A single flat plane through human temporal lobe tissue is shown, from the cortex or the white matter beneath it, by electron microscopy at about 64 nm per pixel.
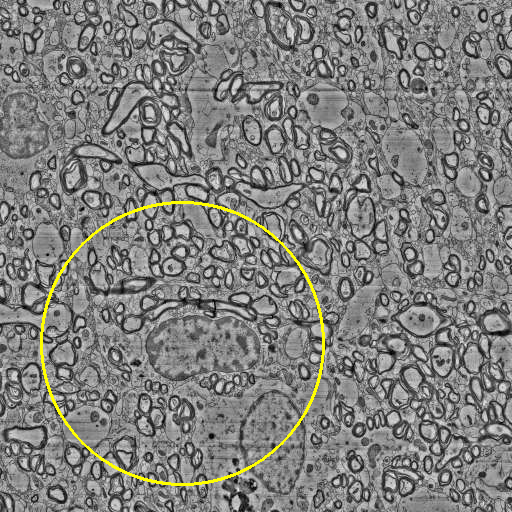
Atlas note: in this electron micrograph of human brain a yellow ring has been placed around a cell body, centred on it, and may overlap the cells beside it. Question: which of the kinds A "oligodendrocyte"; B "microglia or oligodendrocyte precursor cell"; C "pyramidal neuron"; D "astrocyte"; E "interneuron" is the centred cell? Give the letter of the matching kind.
B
